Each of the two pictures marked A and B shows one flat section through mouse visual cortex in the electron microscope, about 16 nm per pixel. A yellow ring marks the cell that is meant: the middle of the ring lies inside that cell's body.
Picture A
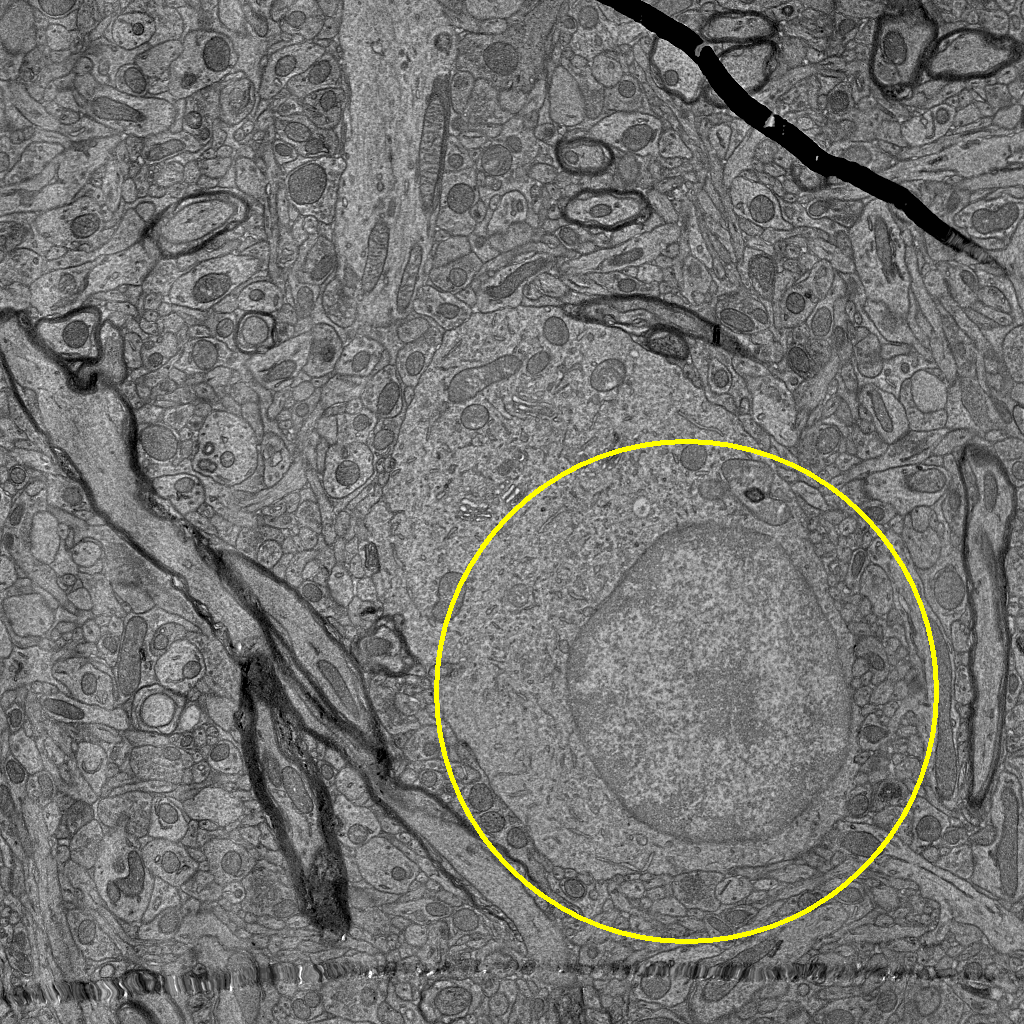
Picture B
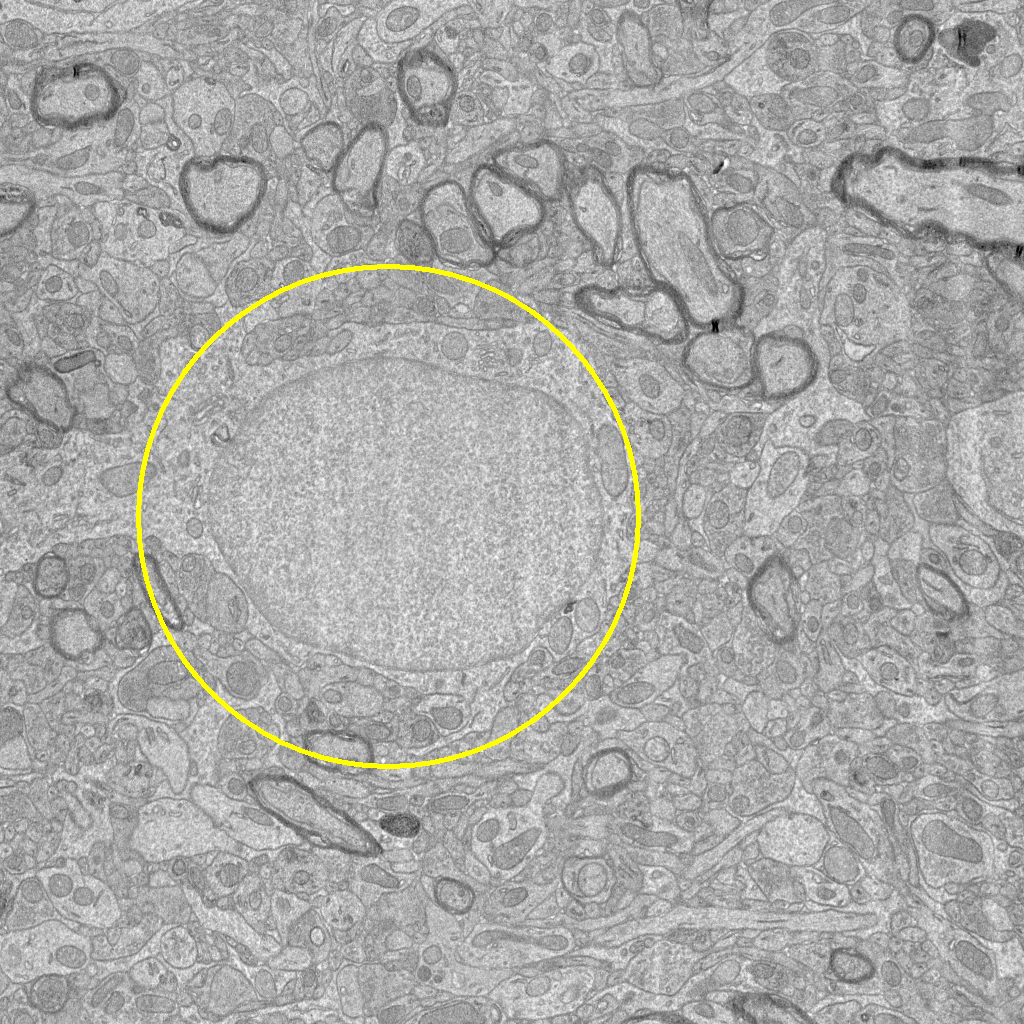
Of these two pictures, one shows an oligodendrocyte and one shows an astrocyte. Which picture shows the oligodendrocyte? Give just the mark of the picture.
A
